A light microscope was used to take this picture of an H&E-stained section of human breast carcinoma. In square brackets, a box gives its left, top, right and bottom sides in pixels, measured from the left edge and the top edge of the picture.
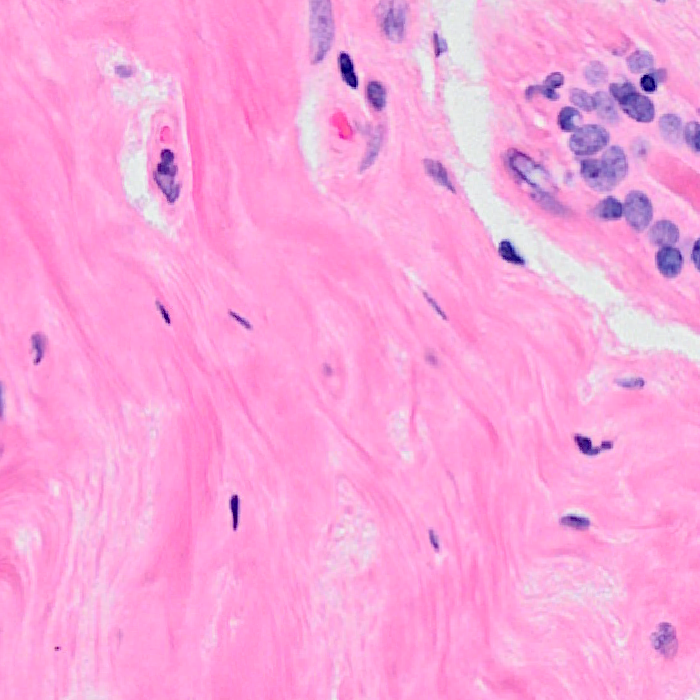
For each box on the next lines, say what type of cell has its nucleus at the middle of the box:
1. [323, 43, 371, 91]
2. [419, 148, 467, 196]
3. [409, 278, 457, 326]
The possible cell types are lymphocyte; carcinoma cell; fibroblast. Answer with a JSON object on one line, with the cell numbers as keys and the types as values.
{"1": "lymphocyte", "2": "fibroblast", "3": "fibroblast"}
